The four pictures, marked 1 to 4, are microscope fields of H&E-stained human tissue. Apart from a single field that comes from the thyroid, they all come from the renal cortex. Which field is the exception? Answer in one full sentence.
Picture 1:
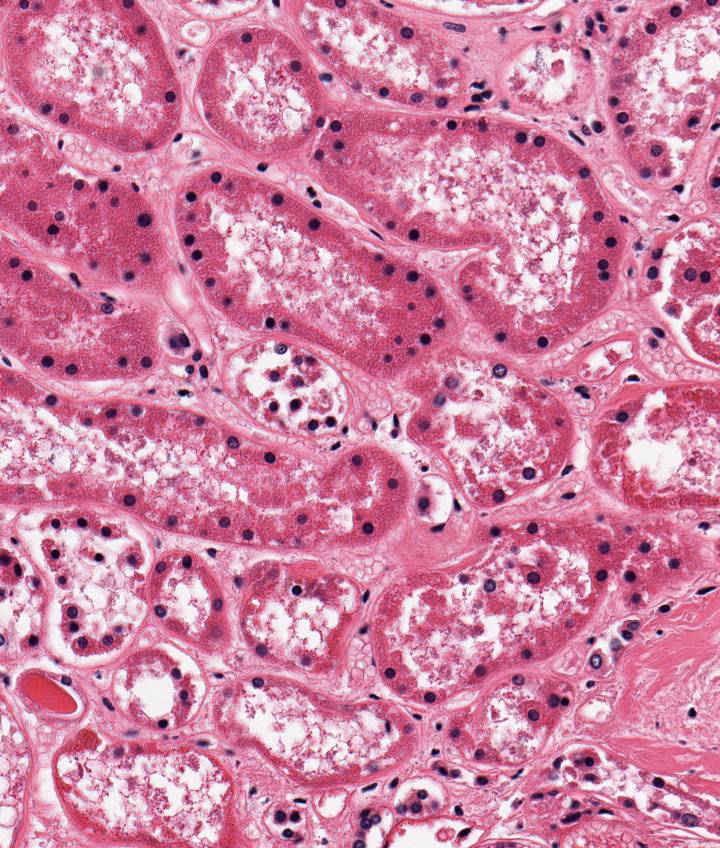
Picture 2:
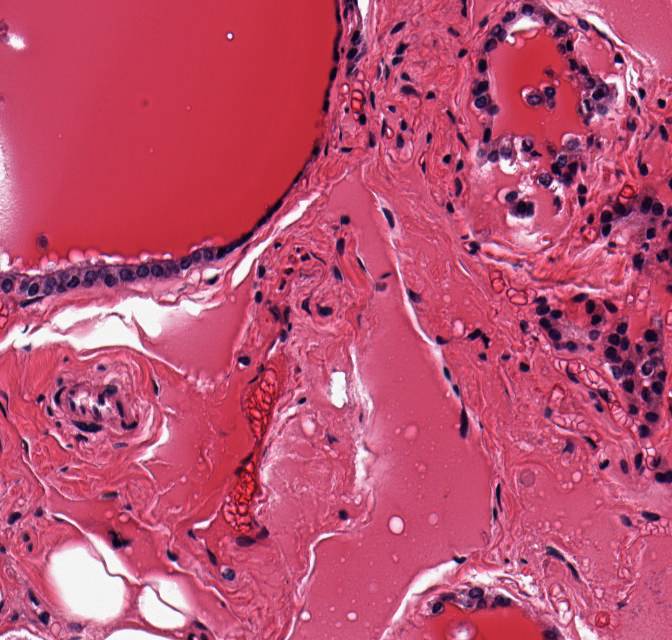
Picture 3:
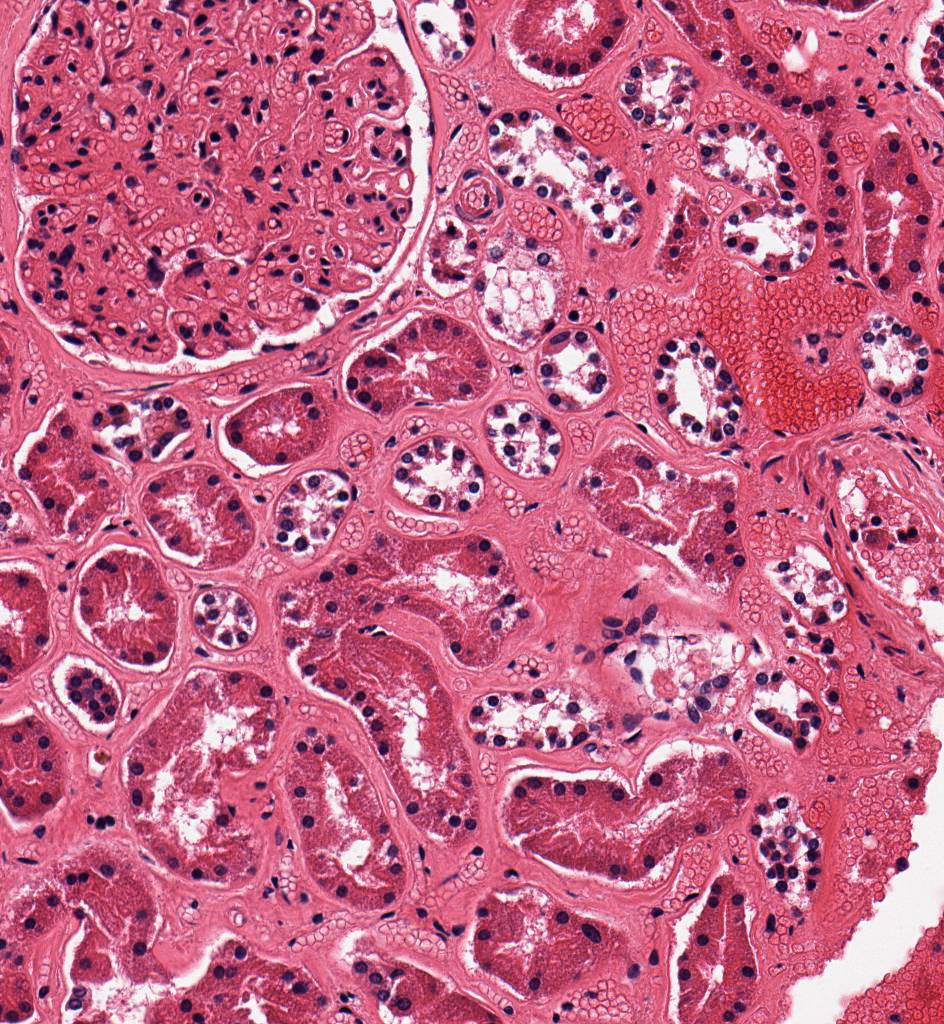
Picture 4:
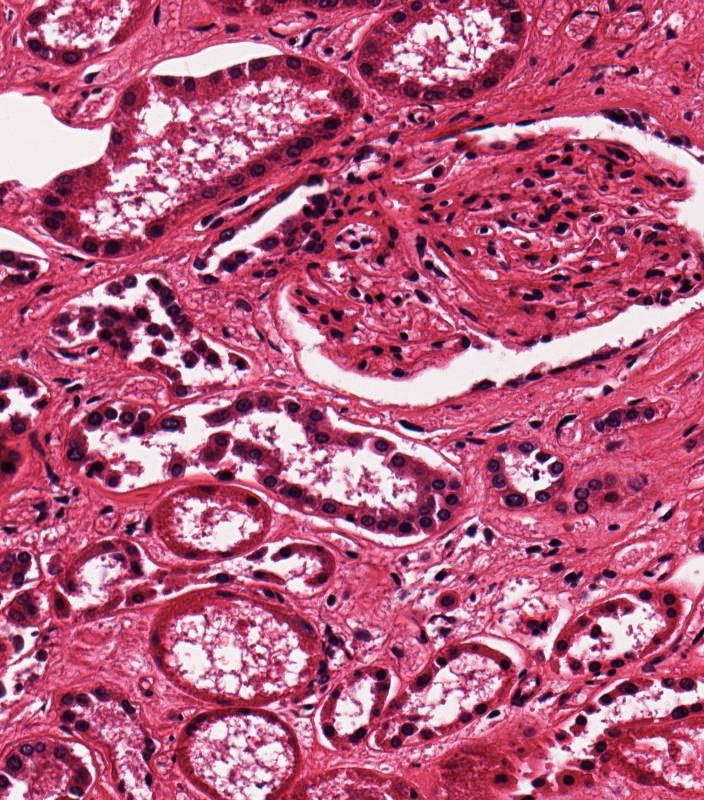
The one that comes from the thyroid is picture 2.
